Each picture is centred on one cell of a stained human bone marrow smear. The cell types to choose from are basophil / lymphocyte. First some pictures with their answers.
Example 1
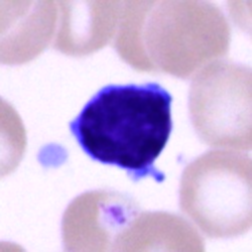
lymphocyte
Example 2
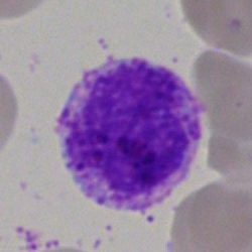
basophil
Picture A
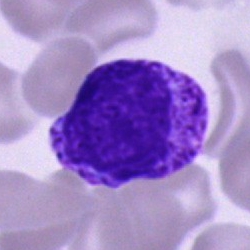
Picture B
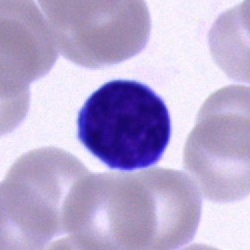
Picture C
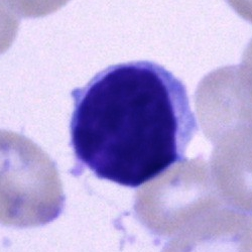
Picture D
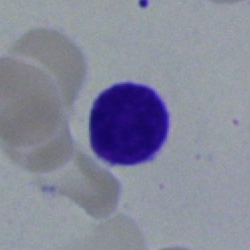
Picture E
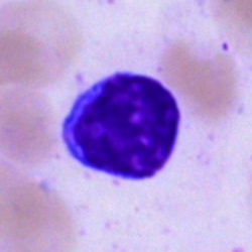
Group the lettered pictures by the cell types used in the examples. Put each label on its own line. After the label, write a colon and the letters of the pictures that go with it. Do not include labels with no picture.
basophil: A
lymphocyte: B, C, D, E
